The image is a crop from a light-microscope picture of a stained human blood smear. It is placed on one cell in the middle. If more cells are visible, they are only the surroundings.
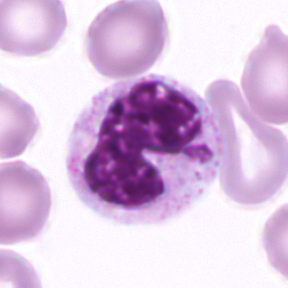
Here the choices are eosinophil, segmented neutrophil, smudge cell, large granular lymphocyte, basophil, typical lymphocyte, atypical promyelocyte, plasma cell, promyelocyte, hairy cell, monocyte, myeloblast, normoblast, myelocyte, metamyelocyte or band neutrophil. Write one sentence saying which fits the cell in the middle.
In the centre of this crop there is a band neutrophil.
